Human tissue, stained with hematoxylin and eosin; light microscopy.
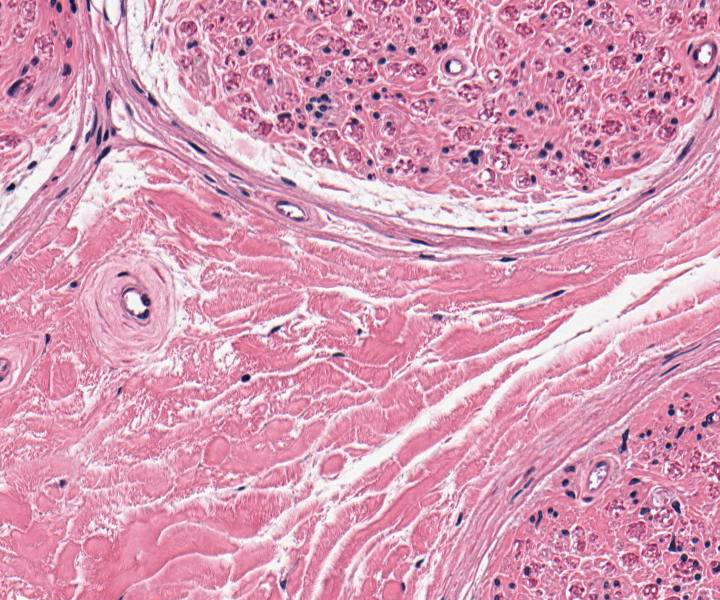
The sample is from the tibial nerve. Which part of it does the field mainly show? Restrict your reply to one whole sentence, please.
What is shown in this section is epineurium.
